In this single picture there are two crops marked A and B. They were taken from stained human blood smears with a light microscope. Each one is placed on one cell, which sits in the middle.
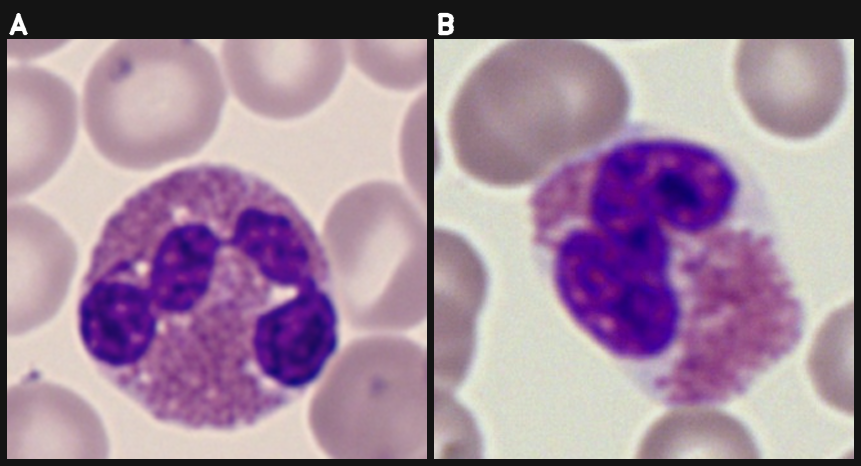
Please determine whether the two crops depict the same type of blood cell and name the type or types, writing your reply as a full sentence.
Yes, the central cells of both crops are eosinophils.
